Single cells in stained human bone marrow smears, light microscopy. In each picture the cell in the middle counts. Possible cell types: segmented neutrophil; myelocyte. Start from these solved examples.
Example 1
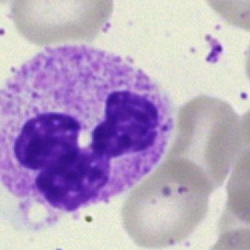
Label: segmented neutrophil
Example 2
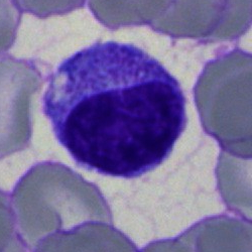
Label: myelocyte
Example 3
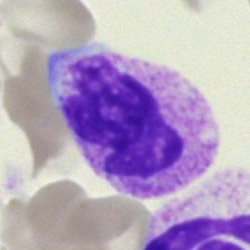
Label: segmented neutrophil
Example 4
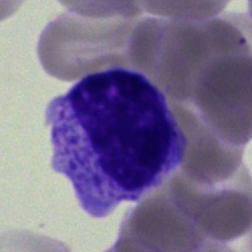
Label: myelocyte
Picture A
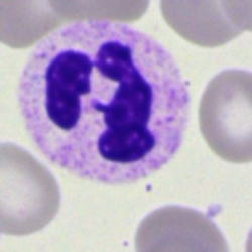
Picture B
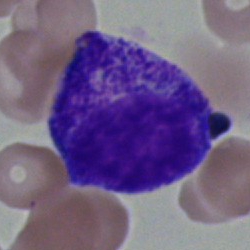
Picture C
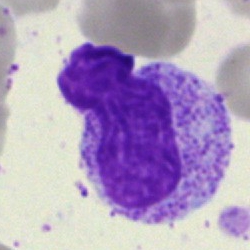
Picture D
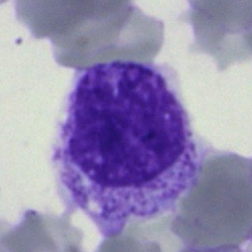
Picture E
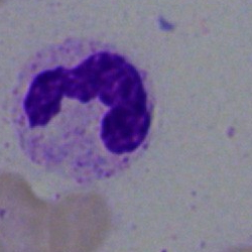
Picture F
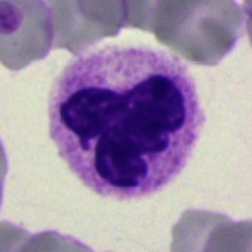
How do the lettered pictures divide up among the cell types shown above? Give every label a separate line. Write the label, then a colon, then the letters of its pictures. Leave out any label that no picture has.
segmented neutrophil: A, E, F
myelocyte: B, C, D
